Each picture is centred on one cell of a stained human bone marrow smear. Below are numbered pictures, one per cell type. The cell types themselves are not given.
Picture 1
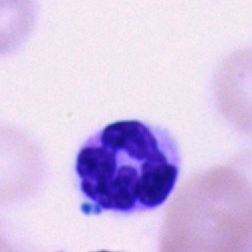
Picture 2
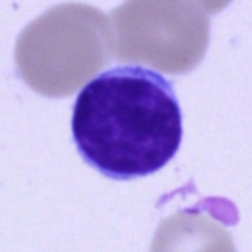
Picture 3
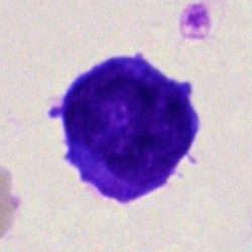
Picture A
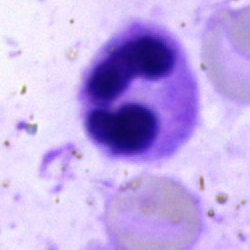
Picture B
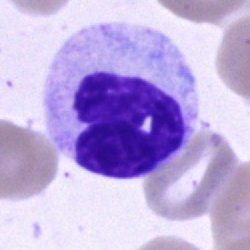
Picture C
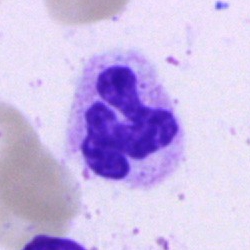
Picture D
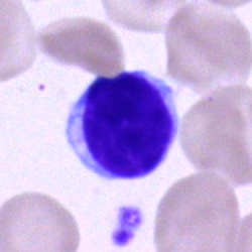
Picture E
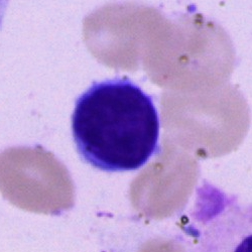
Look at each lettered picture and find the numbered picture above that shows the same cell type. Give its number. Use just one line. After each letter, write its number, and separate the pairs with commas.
A 1, B 1, C 1, D 2, E 2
